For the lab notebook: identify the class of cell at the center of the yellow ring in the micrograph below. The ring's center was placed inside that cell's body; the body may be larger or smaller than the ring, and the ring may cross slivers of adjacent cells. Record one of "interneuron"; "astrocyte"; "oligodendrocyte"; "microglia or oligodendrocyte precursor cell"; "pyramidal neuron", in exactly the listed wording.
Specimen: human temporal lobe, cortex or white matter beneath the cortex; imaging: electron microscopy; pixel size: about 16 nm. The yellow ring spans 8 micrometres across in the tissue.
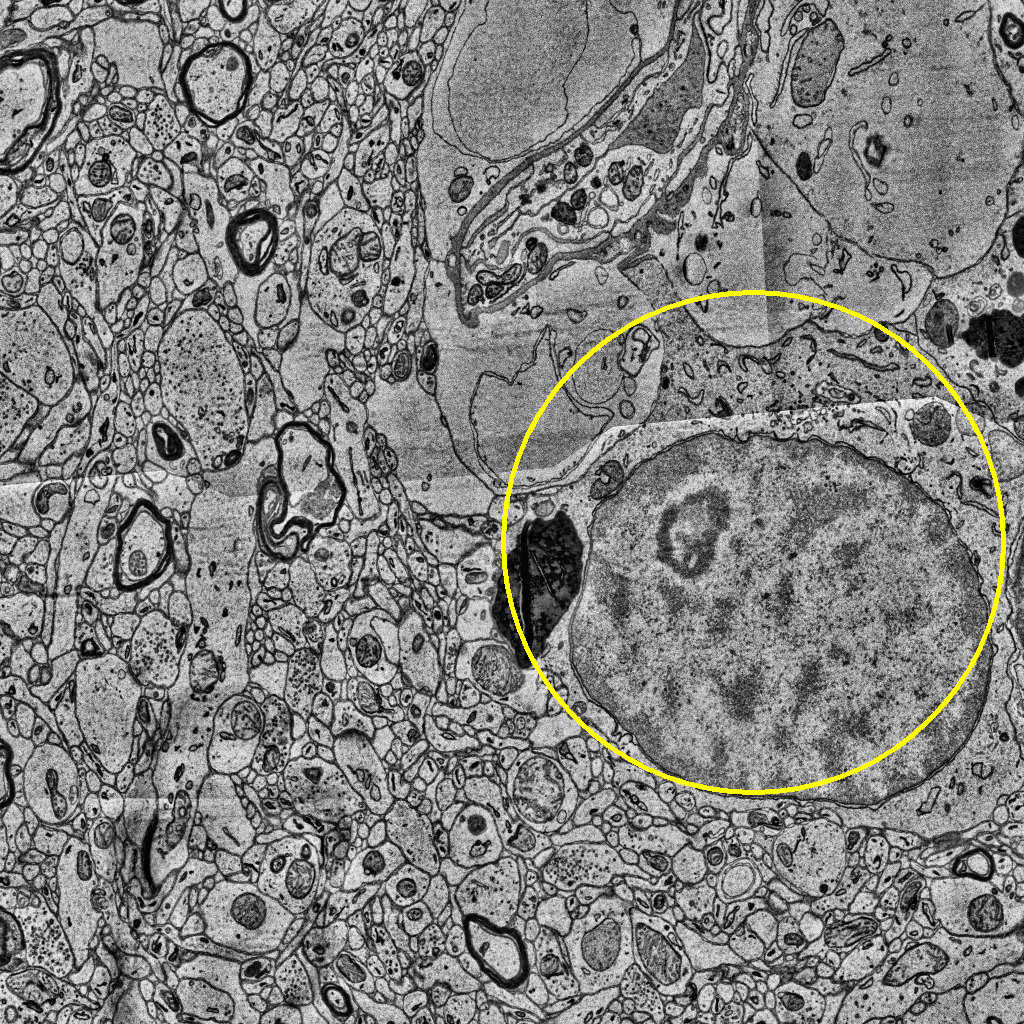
oligodendrocyte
